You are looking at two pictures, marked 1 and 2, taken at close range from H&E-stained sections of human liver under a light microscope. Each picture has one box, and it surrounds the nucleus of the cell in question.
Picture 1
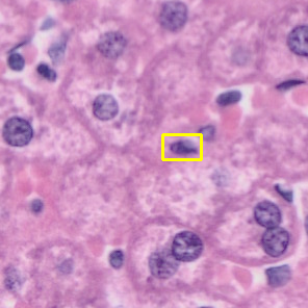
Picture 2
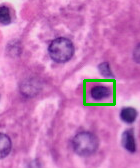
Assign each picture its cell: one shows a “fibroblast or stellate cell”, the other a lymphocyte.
1: fibroblast or stellate cell
2: lymphocyte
